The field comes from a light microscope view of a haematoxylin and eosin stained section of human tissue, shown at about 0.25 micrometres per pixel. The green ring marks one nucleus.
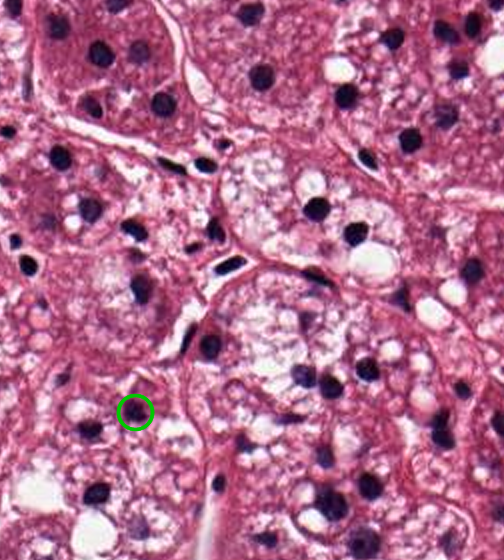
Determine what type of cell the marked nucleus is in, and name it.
adrenal cortical cell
